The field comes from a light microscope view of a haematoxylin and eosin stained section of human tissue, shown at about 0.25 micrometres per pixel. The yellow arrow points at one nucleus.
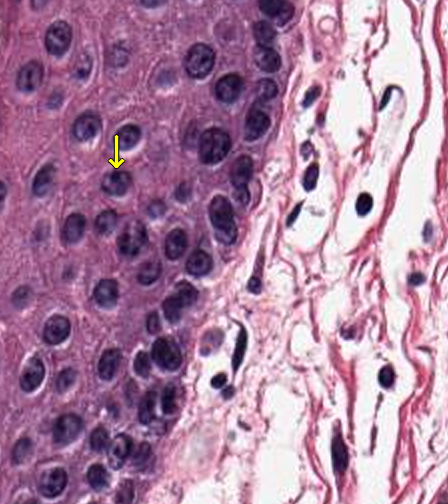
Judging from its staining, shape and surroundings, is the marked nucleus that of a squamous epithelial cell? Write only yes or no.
yes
